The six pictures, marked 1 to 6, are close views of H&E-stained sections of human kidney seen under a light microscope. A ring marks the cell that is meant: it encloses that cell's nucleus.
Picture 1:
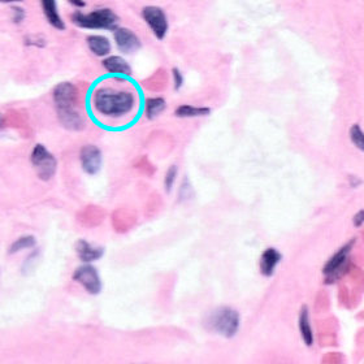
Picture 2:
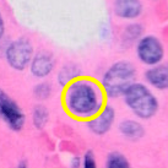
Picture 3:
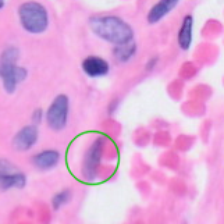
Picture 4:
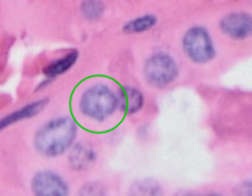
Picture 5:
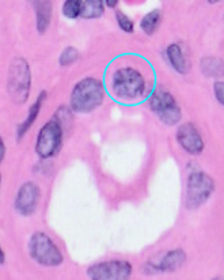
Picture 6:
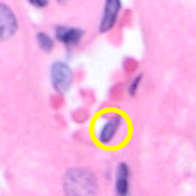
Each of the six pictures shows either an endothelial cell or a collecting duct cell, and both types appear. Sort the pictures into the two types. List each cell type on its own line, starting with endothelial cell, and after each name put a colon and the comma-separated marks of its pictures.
endothelial cell: 1, 3, 6
collecting duct cell: 2, 4, 5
